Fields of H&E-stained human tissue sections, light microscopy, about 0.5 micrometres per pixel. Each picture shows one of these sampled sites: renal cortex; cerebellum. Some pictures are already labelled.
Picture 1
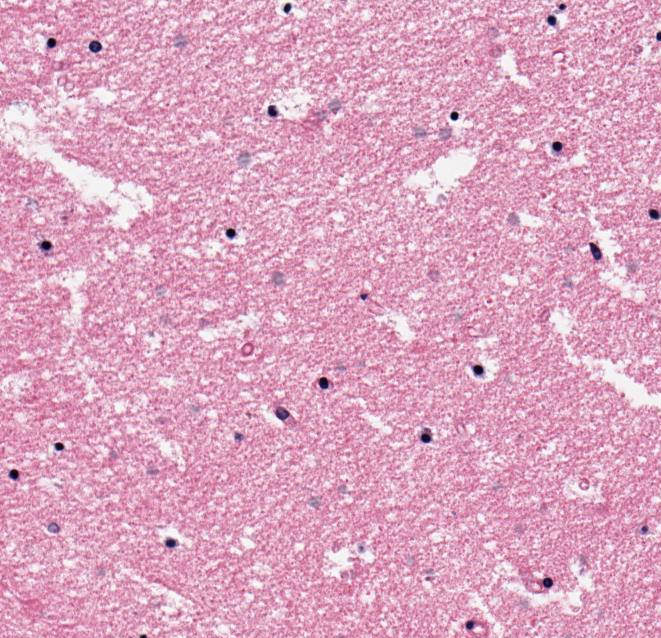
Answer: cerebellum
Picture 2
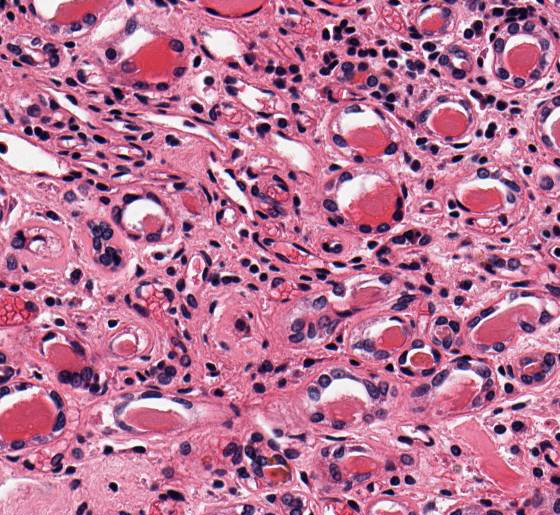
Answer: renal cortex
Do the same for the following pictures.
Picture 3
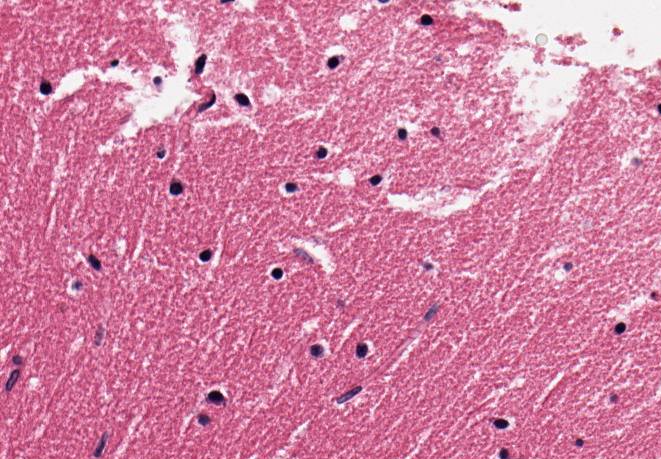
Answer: cerebellum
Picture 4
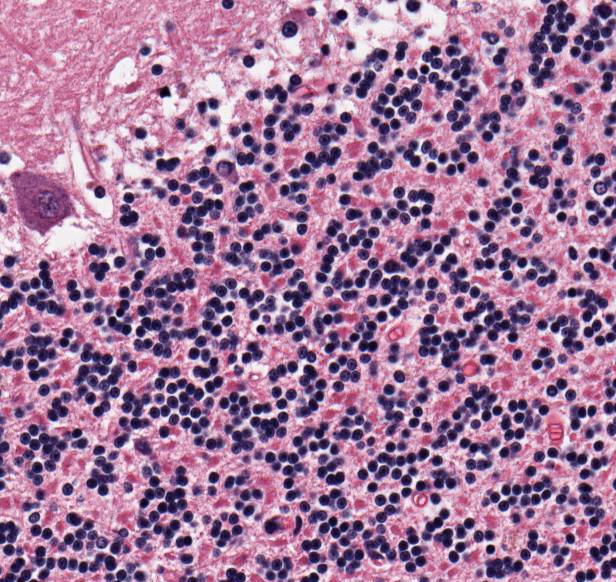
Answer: cerebellum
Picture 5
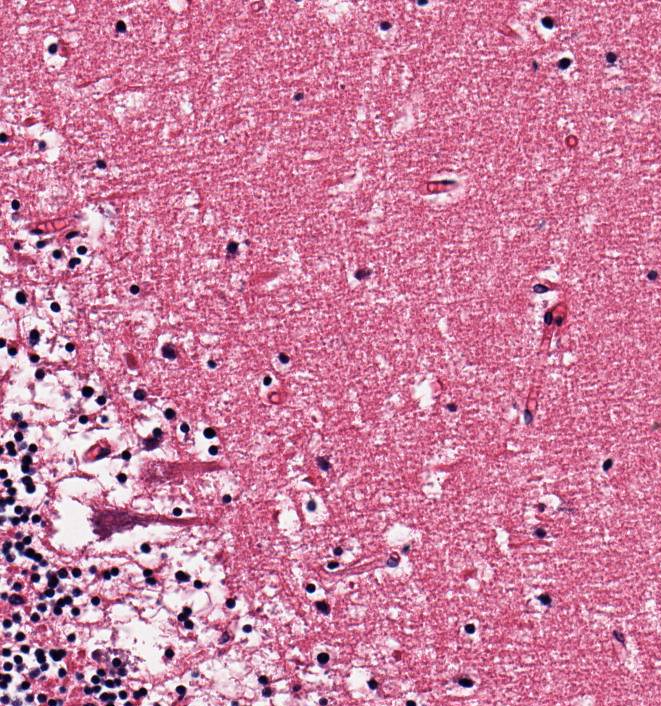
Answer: cerebellum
